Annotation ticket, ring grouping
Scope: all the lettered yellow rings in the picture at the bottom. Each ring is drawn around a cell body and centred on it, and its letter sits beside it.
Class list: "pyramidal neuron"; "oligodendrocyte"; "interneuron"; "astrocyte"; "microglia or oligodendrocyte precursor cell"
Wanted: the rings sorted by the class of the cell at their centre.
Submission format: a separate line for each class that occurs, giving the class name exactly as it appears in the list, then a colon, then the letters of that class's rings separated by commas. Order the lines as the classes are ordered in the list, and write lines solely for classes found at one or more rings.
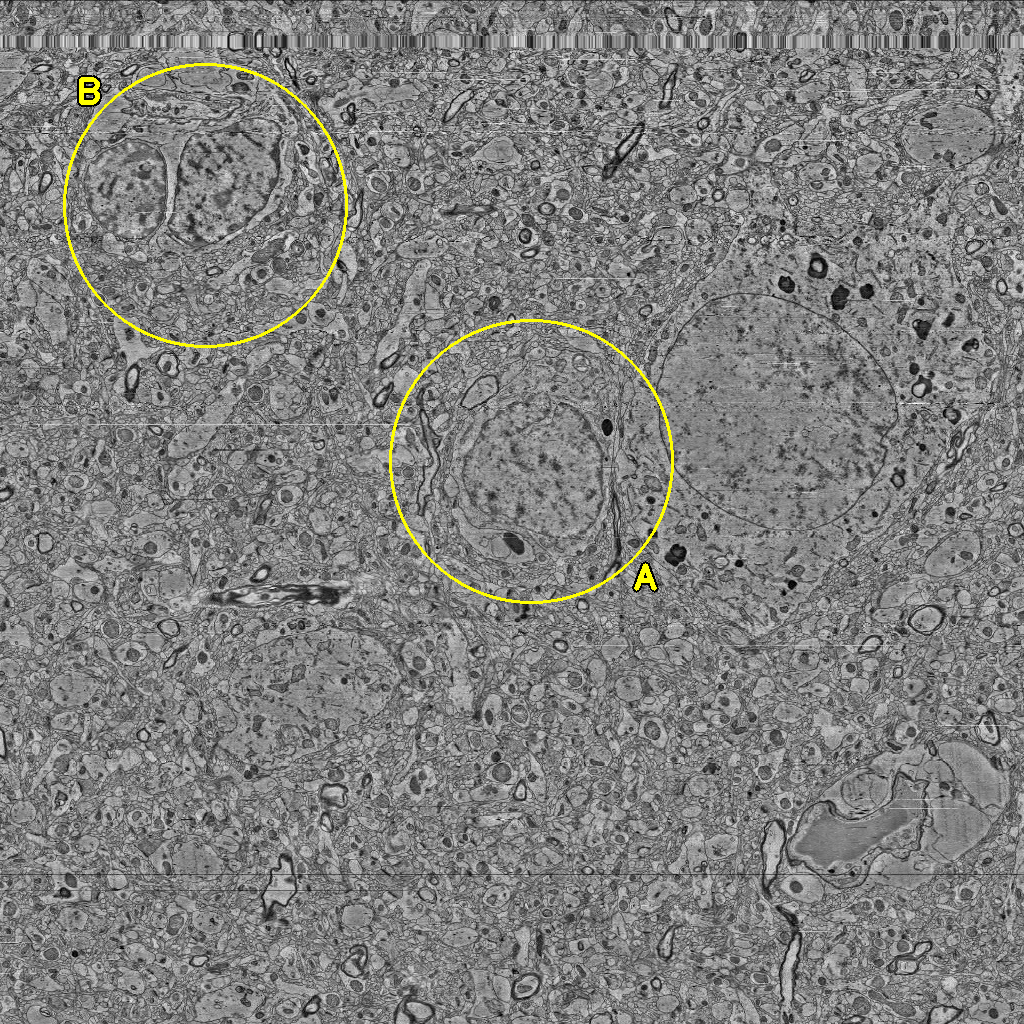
interneuron: A
microglia or oligodendrocyte precursor cell: B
